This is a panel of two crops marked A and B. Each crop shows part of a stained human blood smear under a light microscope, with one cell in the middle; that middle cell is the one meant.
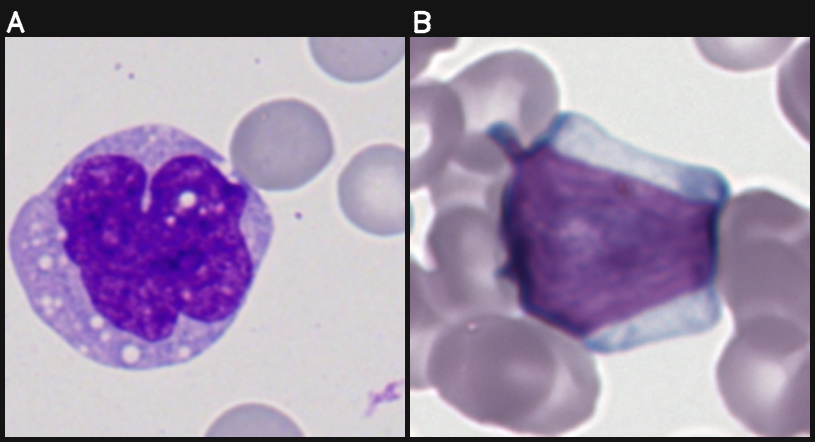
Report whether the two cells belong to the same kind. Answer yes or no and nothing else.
no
